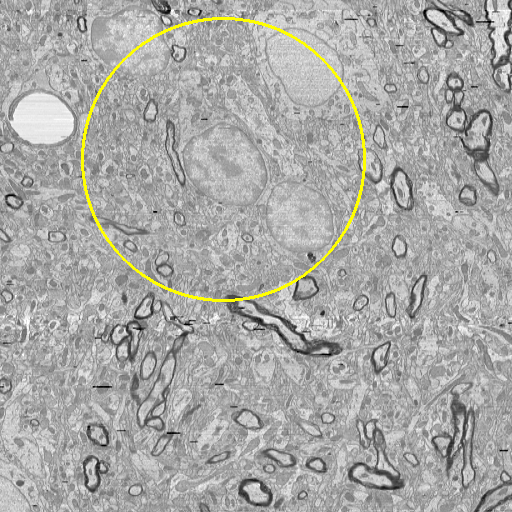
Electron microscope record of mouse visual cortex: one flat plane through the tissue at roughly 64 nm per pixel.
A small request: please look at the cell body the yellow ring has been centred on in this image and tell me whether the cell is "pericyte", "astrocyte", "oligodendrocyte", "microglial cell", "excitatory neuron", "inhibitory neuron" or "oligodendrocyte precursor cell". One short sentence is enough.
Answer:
The cell marked by the ring is an oligodendrocyte.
